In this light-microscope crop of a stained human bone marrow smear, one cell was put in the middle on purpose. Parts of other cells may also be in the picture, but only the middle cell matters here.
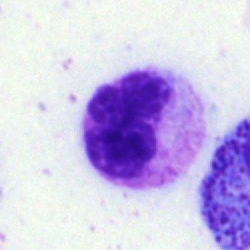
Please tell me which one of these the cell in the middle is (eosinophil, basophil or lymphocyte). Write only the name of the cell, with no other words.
basophil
